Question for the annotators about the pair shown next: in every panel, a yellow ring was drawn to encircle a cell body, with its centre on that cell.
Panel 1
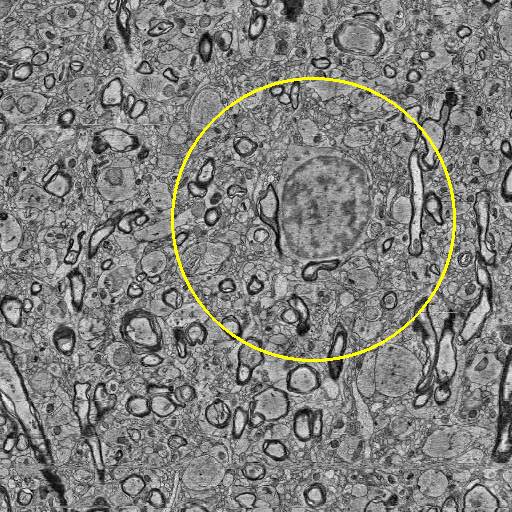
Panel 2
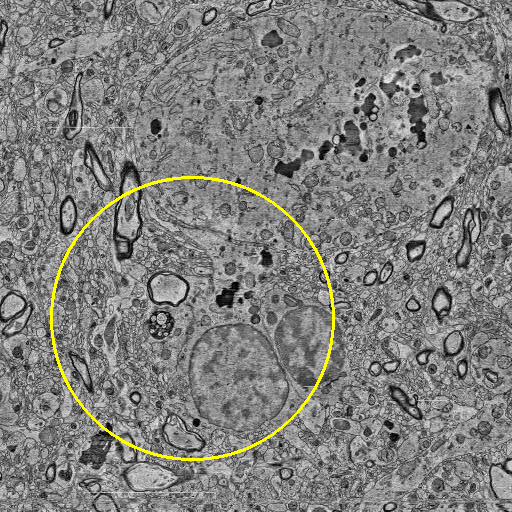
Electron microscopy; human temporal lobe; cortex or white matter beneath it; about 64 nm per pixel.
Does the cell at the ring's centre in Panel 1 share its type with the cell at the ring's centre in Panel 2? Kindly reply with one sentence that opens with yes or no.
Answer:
Yes, in Panels 1 and 2 the cells at the ring centres belong to a single type.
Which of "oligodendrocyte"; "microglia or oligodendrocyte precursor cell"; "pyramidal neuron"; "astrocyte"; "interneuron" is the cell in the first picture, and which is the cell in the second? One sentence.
Both rings mark an oligodendrocyte, one in each picture.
